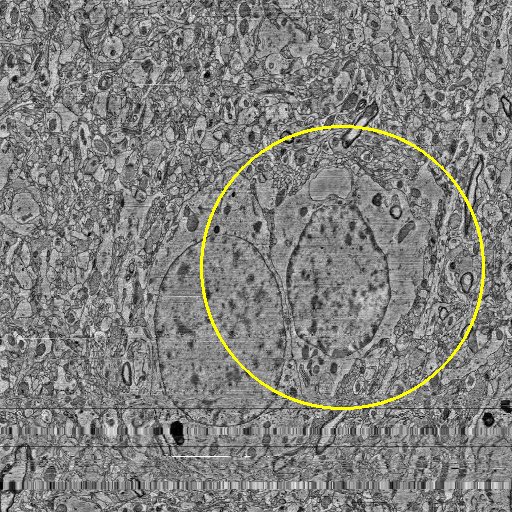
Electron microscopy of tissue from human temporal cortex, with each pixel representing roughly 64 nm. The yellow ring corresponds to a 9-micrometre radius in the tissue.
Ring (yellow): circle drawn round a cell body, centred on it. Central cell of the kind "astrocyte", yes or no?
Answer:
yes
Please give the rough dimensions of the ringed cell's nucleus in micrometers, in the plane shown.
Roughly 10 by 7 micrometers, clearly longer than it is wide in this plane.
